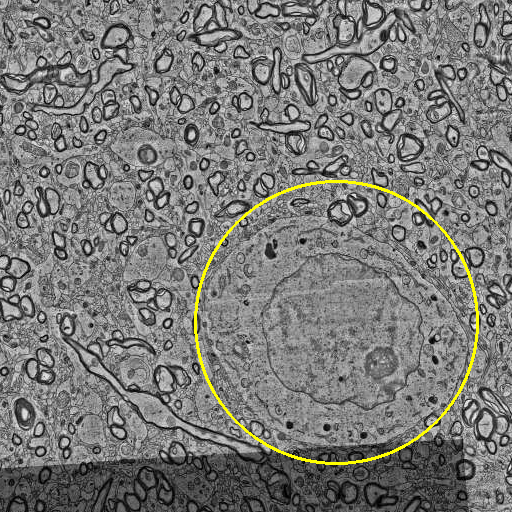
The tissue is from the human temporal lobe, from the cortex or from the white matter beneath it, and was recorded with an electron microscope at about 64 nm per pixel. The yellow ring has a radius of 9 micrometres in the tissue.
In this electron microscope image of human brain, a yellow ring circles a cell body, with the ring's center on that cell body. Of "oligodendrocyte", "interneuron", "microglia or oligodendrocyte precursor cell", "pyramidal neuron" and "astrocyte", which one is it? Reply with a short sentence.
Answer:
It is a pyramidal neuron at the center of the ring.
